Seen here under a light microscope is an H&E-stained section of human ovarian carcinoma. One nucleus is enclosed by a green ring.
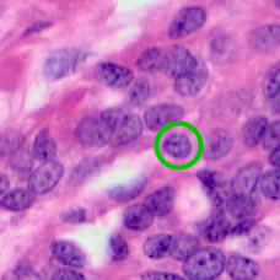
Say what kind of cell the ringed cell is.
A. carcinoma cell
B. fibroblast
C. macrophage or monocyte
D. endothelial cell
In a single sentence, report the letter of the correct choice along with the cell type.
Option C names it right: the ringed cell is a macrophage or monocyte.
